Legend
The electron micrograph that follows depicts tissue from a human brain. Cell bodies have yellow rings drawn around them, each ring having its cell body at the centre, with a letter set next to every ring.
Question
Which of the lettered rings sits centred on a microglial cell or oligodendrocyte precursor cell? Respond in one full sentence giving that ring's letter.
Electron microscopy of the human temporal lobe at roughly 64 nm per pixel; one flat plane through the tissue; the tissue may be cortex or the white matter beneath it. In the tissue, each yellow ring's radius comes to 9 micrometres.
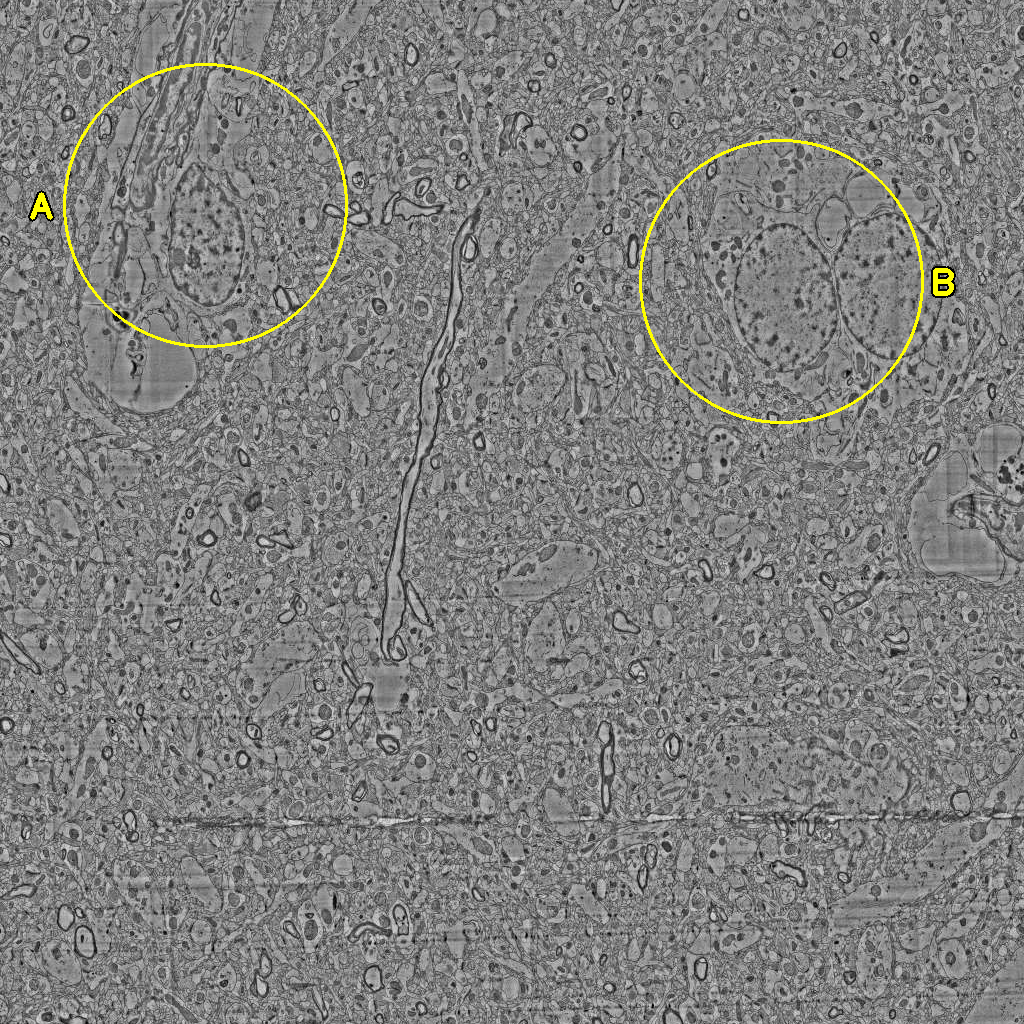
The letter A belongs to the ring centred on the cell asked about in the micrograph.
